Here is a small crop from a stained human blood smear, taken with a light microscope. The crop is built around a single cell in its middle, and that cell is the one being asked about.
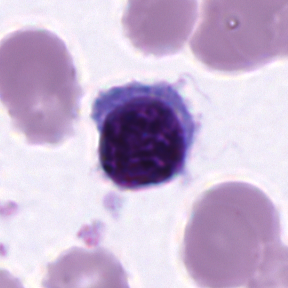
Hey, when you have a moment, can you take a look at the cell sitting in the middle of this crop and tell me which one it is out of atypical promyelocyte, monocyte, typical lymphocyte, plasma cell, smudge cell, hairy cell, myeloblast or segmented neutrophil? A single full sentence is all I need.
Positioned in the middle of the crop is a plasma cell.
